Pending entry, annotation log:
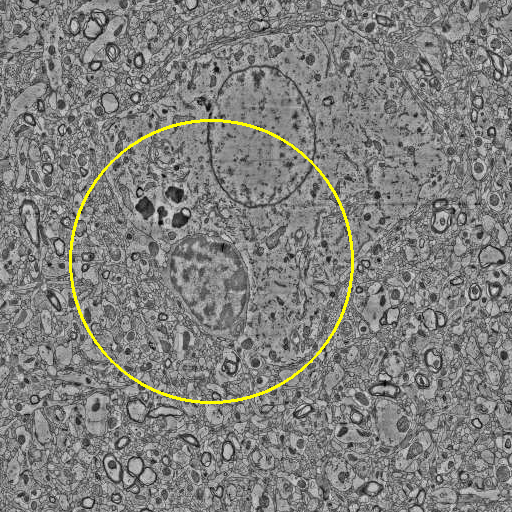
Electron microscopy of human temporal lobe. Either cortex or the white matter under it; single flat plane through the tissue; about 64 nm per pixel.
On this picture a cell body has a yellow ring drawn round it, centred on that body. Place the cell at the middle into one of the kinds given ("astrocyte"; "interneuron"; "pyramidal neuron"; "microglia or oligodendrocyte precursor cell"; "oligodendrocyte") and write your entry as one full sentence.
The cell body at the middle of the yellow ring belongs to an oligodendrocyte.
